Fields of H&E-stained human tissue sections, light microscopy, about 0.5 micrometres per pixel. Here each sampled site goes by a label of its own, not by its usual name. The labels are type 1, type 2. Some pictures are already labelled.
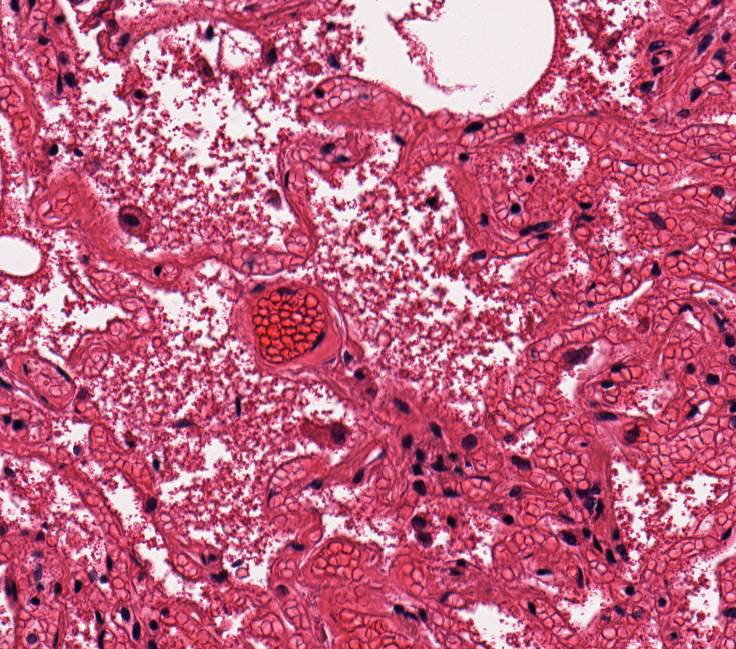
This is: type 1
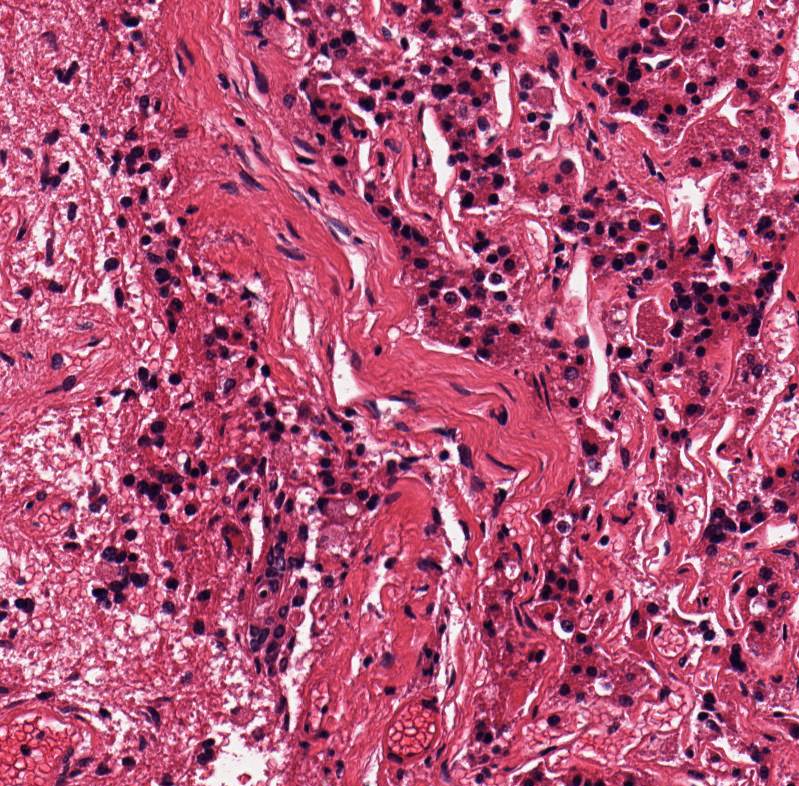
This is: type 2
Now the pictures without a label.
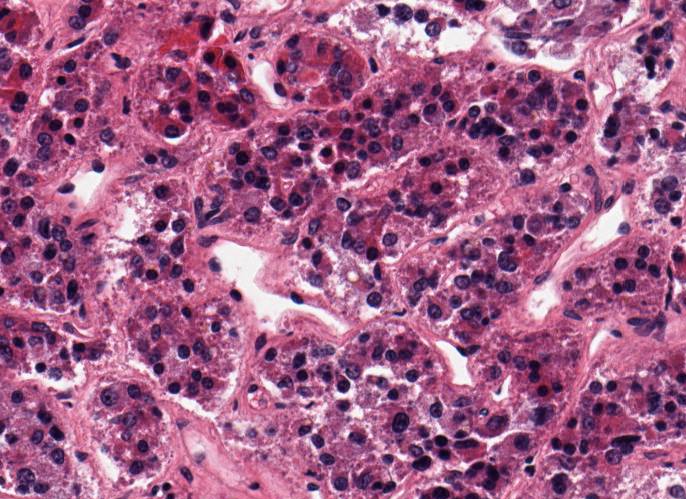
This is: type 2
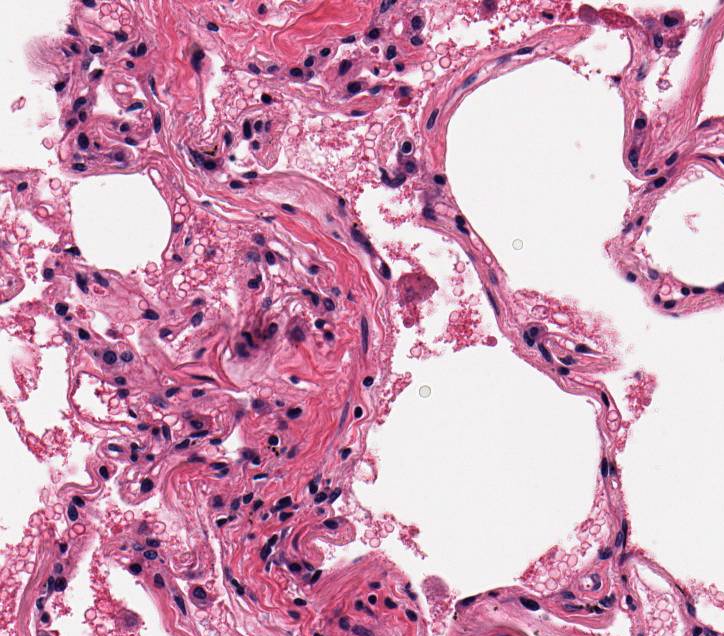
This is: type 1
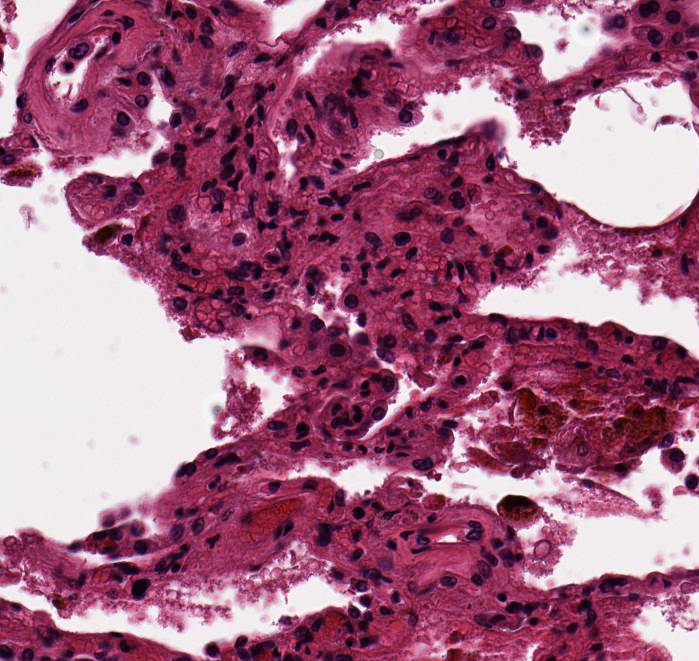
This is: type 1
